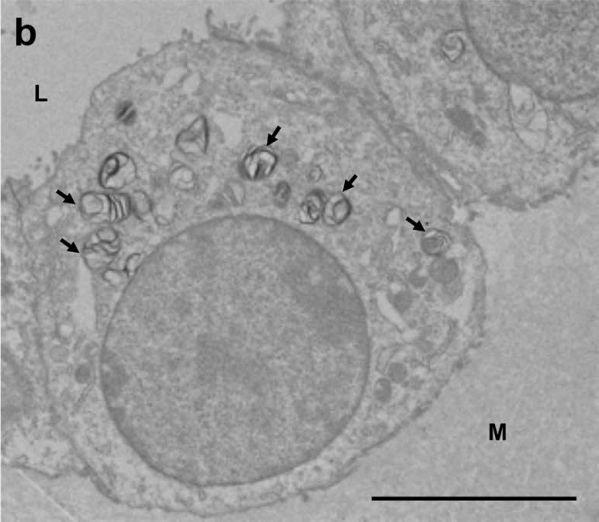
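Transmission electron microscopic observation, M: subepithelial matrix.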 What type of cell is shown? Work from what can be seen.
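A rounded, cuboidal cell with a large round nucleus sits between lumen and matrix. Its cytoplasm holds many bodies with layered membranes. Small projections line the surface facing the lumen. The answer: alveolar-type 2 cell.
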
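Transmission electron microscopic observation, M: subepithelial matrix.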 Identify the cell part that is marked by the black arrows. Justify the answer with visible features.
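The arrows point to rounded cytoplasmic bodies filled with concentric, stacked dark membrane layers. These bodies cluster in the cytoplasm beside the nucleus, toward the lumen. The answer: lamellar inclusion bodies.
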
